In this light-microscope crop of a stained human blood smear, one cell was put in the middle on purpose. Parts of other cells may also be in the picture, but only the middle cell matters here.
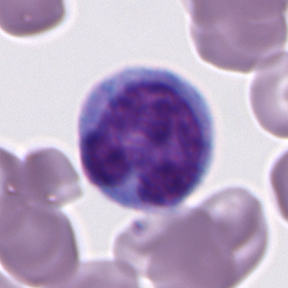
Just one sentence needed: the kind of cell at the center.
Of the cells in this crop, the central one is a monocyte.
